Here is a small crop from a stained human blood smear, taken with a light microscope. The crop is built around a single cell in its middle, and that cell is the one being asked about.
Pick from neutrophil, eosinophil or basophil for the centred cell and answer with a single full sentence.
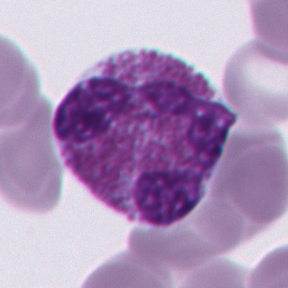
The cell of interest, located centrally, is an eosinophil.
